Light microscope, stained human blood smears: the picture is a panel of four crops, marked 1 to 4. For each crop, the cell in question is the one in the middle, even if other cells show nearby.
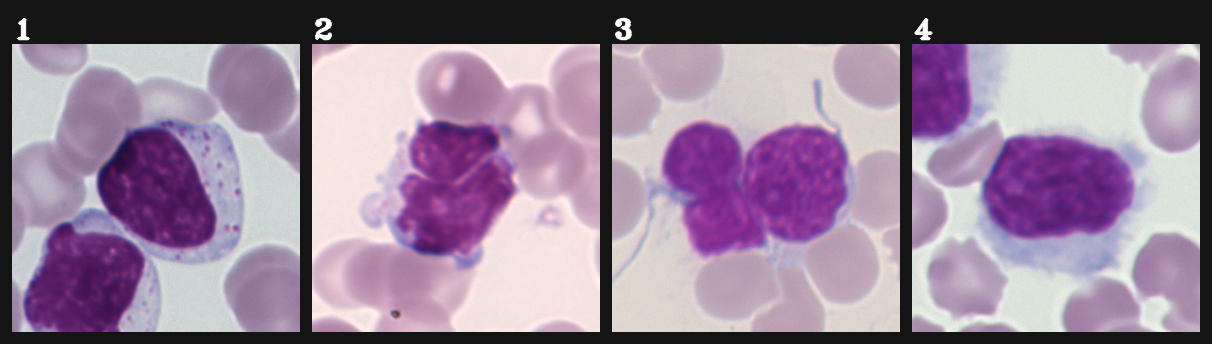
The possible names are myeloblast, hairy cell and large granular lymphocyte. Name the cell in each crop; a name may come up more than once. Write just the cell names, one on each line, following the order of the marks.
large granular lymphocyte
large granular lymphocyte
myeloblast
hairy cell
